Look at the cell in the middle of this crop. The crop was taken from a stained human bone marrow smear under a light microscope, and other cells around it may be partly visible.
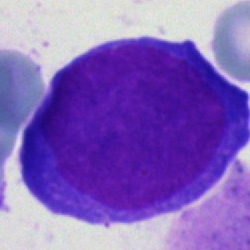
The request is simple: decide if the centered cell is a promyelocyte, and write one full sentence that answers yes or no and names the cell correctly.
No, that is not a promyelocyte; the middle cell is a blast.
